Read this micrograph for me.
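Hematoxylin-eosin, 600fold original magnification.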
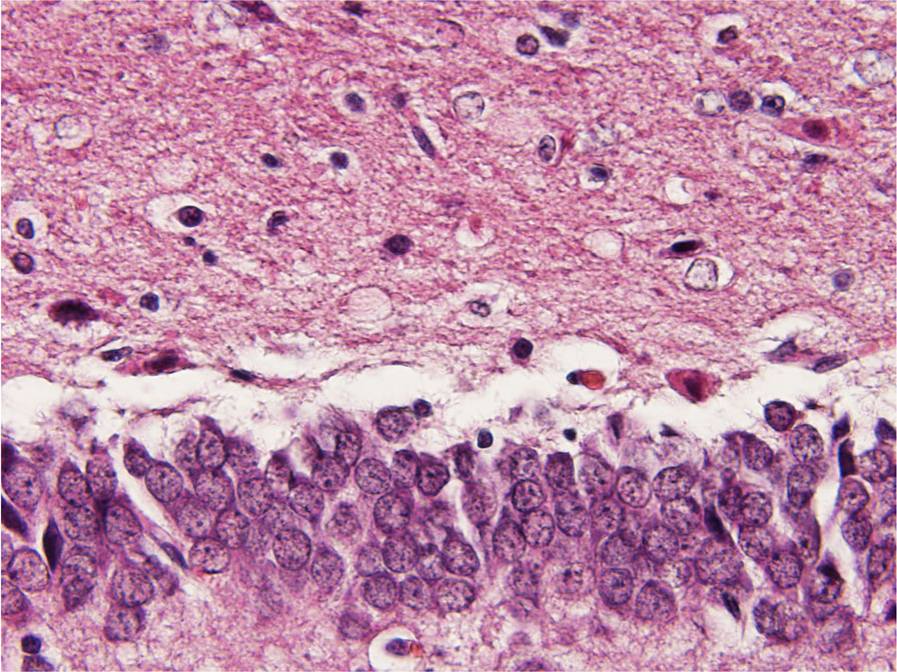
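This is a section of dentate gyrus showing the boundary between a loosely cellular polymorphic layer above and a densely packed granular layer below. The granular layer consists of crowded granule cells with round to oval nuclei, finely granular purple chromatin and scant cytoplasm, lying side by side in a thick band. The upper layer is a pale pink, finely fibrillar neuropil with scattered small dark nuclei. Many clear, round vacuoles lie in this upper layer, several surrounding or bordering a small dark condensed nucleus. A few cells, mostly near the boundary, have intensely red cytoplasm and small, dark, shrunken nuclei. A white cleft-like gap separates the two layers along their boundary.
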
